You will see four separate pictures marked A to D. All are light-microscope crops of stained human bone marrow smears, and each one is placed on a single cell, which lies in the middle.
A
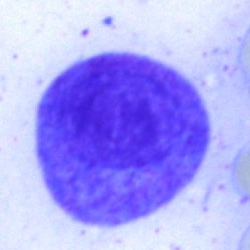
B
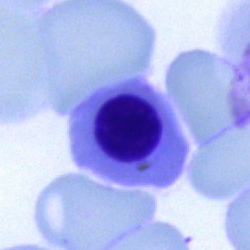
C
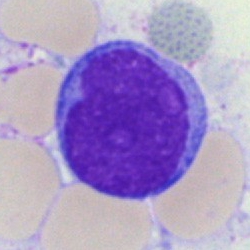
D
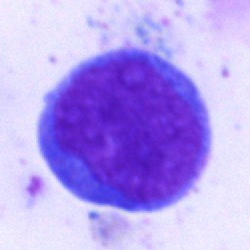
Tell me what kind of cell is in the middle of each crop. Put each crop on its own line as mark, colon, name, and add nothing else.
A: promyelocyte
B: normoblast
C: blast
D: blast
